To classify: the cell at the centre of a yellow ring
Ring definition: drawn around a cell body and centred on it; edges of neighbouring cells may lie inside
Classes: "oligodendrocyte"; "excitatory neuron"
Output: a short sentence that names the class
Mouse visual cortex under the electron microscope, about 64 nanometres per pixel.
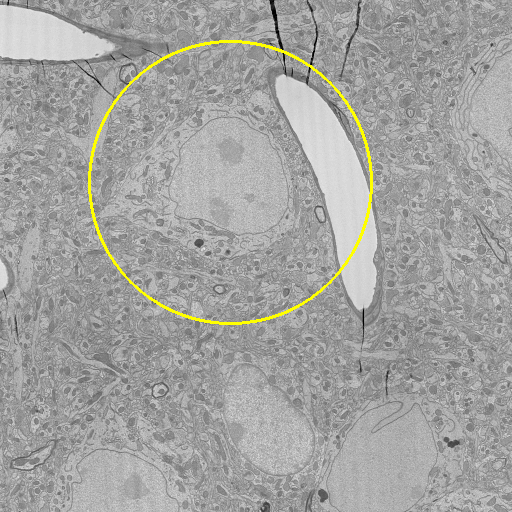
The ringed cell is an excitatory neuron.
